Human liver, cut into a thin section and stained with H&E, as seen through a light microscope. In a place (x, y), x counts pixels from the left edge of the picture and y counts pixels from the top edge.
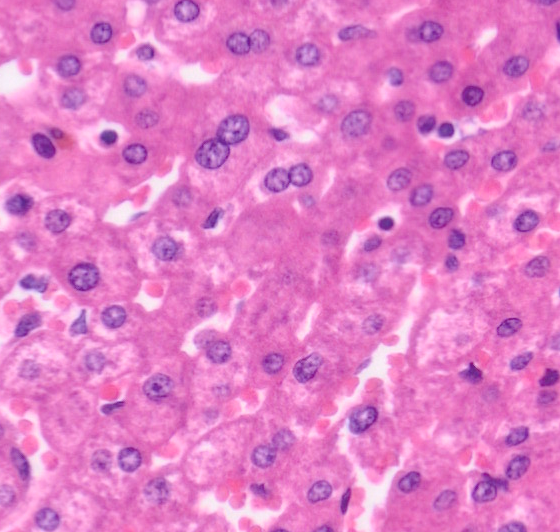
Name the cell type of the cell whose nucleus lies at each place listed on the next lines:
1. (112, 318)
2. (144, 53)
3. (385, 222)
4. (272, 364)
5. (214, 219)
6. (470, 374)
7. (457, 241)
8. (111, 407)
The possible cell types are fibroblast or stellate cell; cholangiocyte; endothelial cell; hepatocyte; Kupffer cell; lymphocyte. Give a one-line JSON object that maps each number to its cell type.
{"1": "hepatocyte", "2": "Kupffer cell", "3": "lymphocyte", "4": "hepatocyte", "5": "endothelial cell", "6": "endothelial cell", "7": "fibroblast or stellate cell", "8": "endothelial cell"}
